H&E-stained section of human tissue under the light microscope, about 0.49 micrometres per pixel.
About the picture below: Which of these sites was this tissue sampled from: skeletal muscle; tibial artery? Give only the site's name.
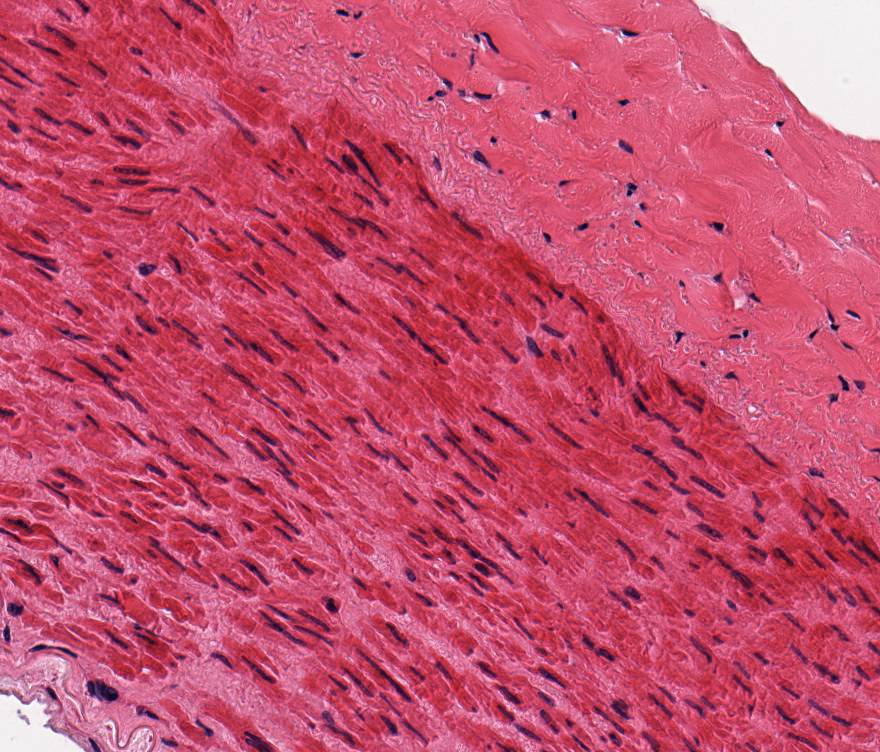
tibial artery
